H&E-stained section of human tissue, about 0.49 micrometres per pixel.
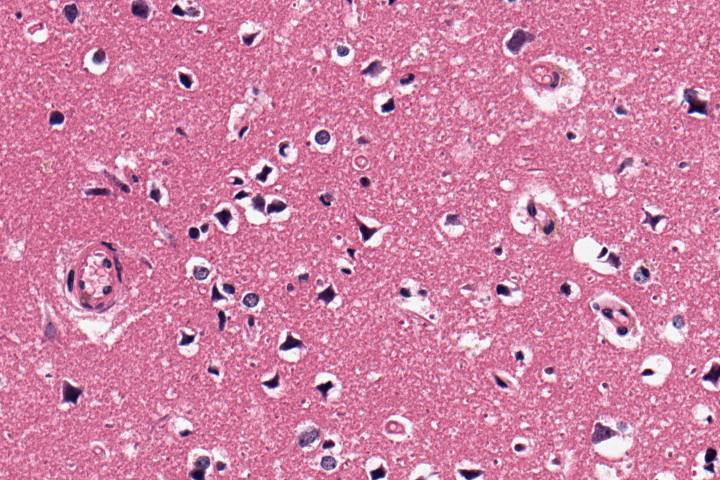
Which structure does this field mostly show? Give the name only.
cerebral cortex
